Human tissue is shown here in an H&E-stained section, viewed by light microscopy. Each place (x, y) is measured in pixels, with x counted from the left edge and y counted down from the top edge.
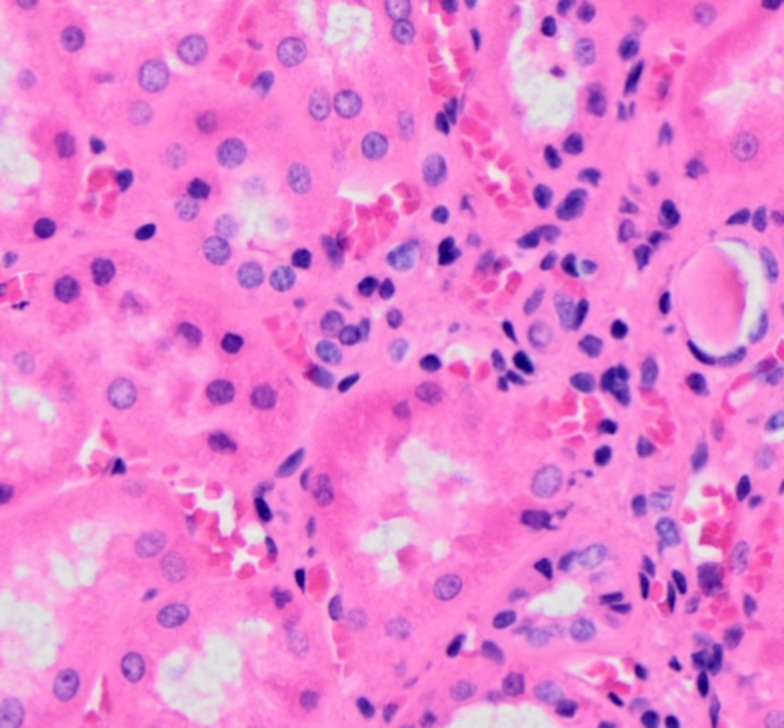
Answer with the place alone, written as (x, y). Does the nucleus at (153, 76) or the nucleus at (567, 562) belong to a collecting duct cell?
(567, 562)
